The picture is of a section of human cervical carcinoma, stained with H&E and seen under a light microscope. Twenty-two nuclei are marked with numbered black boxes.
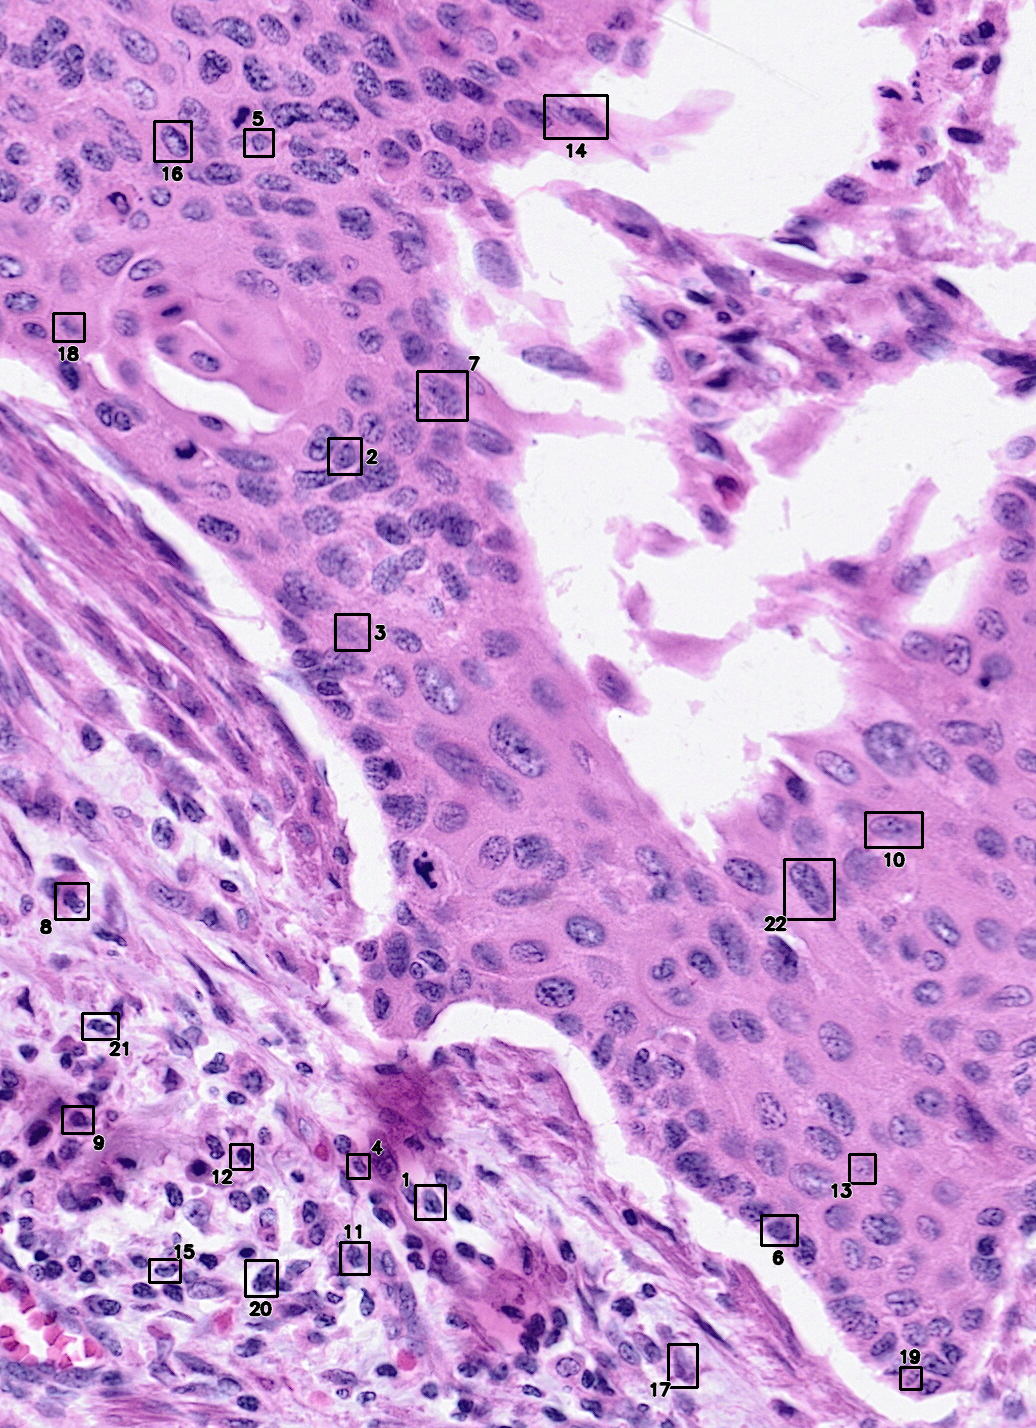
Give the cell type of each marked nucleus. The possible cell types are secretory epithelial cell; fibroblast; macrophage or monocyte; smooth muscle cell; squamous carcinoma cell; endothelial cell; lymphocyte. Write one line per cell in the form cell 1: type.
cell 1: lymphocyte
cell 2: squamous carcinoma cell
cell 3: squamous carcinoma cell
cell 4: lymphocyte
cell 5: squamous carcinoma cell
cell 6: squamous carcinoma cell
cell 7: squamous carcinoma cell
cell 8: lymphocyte
cell 9: lymphocyte
cell 10: squamous carcinoma cell
cell 11: lymphocyte
cell 12: lymphocyte
cell 13: squamous carcinoma cell
cell 14: squamous carcinoma cell
cell 15: lymphocyte
cell 16: squamous carcinoma cell
cell 17: fibroblast
cell 18: squamous carcinoma cell
cell 19: squamous carcinoma cell
cell 20: lymphocyte
cell 21: lymphocyte
cell 22: squamous carcinoma cell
